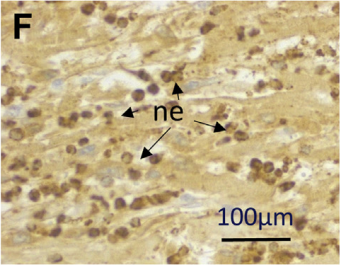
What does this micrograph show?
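The brown cells are small and roundish and lie scattered densely between paler, light brown strands of damaged tissue. They are spread through the whole field rather than gathered into one focus.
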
